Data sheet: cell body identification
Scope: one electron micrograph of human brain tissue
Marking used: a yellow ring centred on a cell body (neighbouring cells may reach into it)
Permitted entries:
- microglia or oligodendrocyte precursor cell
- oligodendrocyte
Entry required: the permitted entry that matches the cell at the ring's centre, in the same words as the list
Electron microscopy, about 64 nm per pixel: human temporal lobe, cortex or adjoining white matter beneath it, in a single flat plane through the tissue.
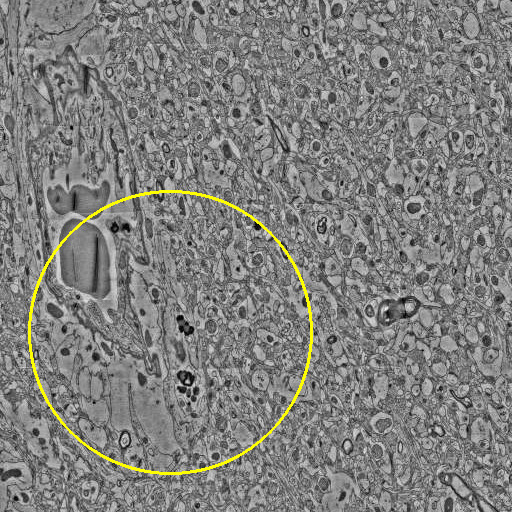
microglia or oligodendrocyte precursor cell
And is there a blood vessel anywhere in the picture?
Yes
